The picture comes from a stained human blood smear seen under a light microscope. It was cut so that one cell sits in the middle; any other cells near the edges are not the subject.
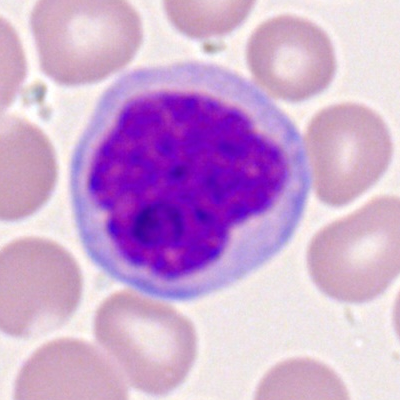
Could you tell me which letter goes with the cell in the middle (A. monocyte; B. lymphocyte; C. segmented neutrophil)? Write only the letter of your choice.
A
